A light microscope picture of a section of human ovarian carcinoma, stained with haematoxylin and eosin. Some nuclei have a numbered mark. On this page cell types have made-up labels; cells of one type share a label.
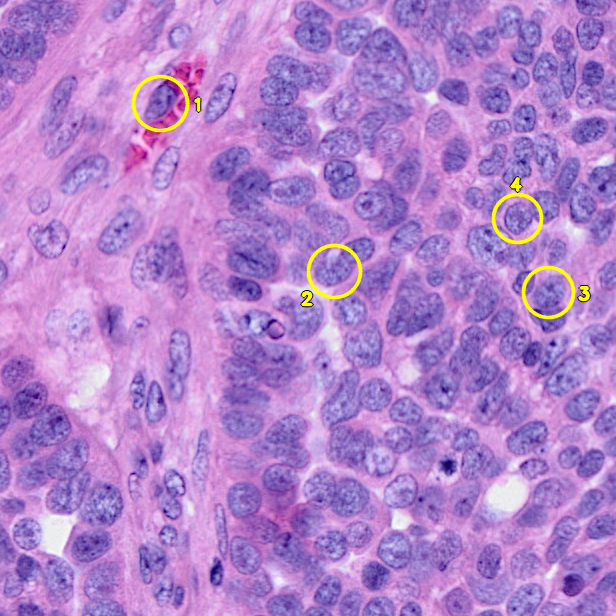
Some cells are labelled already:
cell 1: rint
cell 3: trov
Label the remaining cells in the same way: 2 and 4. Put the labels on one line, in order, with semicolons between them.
trov; trov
